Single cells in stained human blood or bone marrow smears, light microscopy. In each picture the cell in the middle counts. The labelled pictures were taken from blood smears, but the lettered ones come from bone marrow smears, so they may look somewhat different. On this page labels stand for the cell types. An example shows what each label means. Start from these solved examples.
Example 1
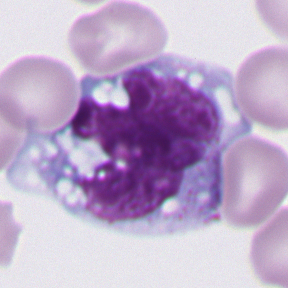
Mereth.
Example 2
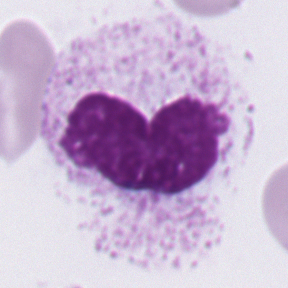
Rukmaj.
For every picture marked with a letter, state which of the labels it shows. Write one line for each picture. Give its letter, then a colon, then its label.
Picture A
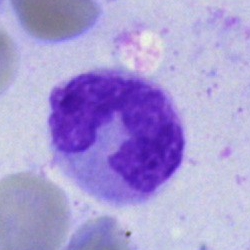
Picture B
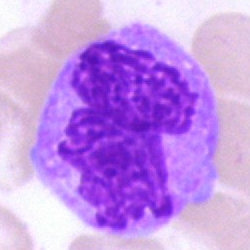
A: Rukmaj.
B: Mereth.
